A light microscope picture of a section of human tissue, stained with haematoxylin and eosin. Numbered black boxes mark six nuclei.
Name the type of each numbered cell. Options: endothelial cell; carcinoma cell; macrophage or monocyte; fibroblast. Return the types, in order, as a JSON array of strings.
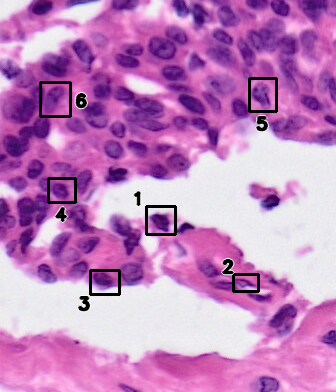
["carcinoma cell", "endothelial cell", "carcinoma cell", "carcinoma cell", "macrophage or monocyte", "carcinoma cell"]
